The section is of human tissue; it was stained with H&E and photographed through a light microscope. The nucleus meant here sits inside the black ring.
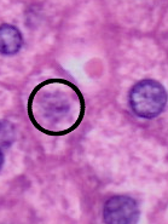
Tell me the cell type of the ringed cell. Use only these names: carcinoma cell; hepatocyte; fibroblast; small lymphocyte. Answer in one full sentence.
On this particular slide, the ringed cell is a hepatocyte.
